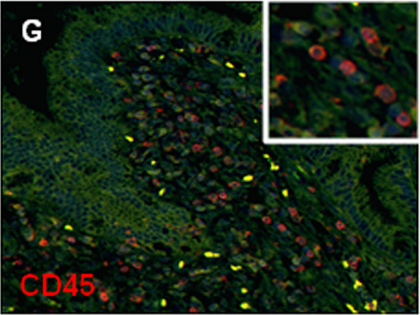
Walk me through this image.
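A layer of epithelial cells with green cytoplasm borders a stroma crowded with small round inflammatory cells. Many of these have red-rimmed surfaces around blue nuclei, and scattered cells appear yellow where red and green overlap.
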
